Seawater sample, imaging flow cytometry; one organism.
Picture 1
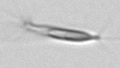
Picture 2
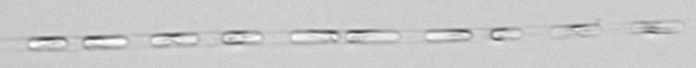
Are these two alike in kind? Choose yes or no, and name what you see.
No. First Calciosolenia, second Skeletonema.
